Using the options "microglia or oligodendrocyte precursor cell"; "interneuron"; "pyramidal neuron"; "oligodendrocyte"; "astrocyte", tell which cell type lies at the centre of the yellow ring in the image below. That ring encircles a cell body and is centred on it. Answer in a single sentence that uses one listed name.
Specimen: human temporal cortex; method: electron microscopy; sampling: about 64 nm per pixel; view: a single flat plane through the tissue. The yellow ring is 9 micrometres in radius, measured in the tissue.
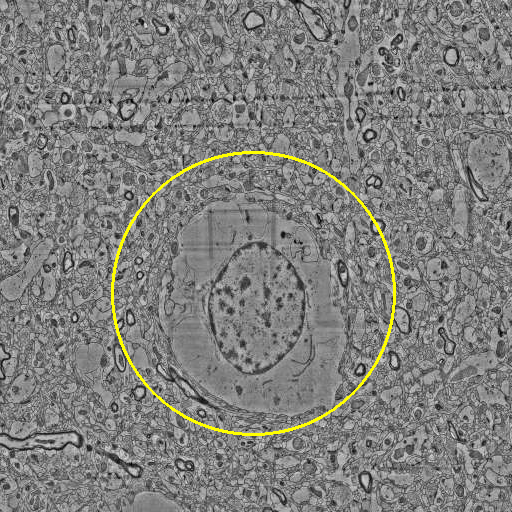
At the centre of the yellow ring lies the body of an astrocyte.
